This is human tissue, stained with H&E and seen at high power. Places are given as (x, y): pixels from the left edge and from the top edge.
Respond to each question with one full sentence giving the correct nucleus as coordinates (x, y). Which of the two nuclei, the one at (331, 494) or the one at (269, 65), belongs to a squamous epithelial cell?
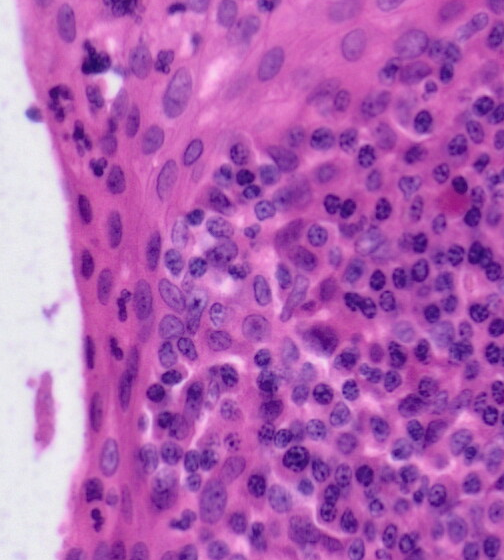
Of the pair, the nucleus positioned at (269, 65) is that of a squamous epithelial cell.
